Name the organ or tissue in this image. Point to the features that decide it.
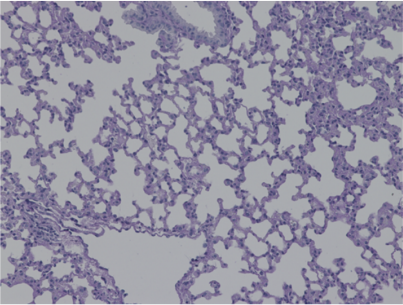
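Thin-walled septa enclose many open, rounded air spaces. A small vessel or airway with a thicker wall lies at the lower left. That points to this answer: lung tissue.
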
